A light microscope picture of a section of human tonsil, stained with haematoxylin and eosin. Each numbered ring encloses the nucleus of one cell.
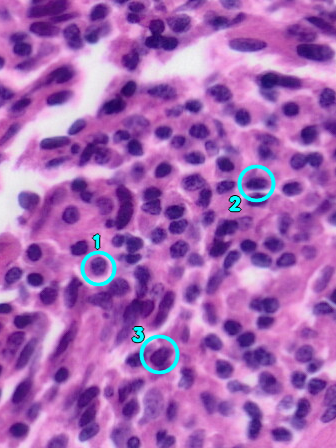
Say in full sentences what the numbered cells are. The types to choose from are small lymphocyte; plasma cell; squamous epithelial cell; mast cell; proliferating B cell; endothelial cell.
Cell 1 is a plasma cell, cell 2 is a plasma cell and cell 3 is a squamous epithelial cell.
